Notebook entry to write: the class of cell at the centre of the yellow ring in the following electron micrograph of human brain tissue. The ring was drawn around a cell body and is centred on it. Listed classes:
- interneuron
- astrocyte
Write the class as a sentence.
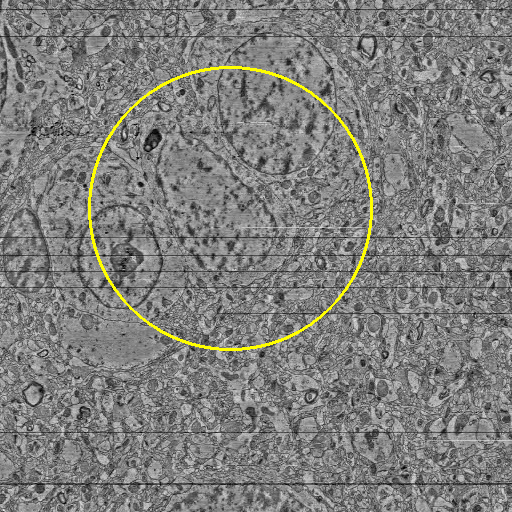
The yellow ring sits on an interneuron.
